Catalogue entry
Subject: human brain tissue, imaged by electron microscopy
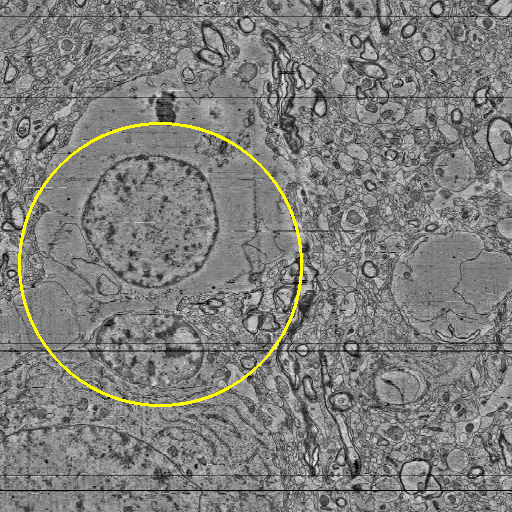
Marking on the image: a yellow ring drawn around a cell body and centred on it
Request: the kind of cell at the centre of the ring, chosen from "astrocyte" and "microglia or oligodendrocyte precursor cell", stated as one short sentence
The ring has an astrocyte at its centre.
